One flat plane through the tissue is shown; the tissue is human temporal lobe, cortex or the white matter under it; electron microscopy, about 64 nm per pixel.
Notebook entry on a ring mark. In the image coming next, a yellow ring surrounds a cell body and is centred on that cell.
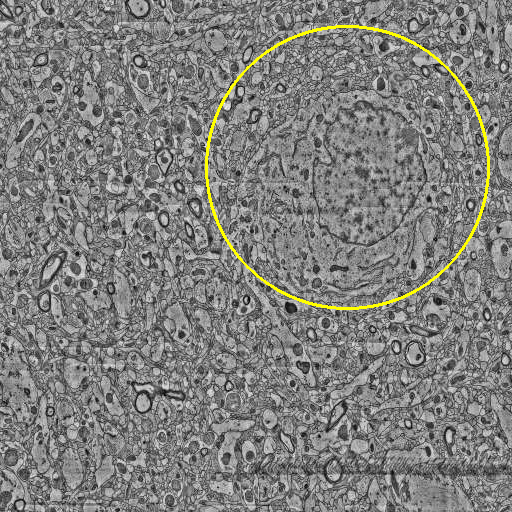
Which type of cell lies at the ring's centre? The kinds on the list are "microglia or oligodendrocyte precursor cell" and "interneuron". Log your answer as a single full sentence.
Centred in the yellow ring is an interneuron, the cell recorded for this image.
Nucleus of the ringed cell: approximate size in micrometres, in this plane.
The nucleus appears roughly 9 by 7 micrometres in this plane.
